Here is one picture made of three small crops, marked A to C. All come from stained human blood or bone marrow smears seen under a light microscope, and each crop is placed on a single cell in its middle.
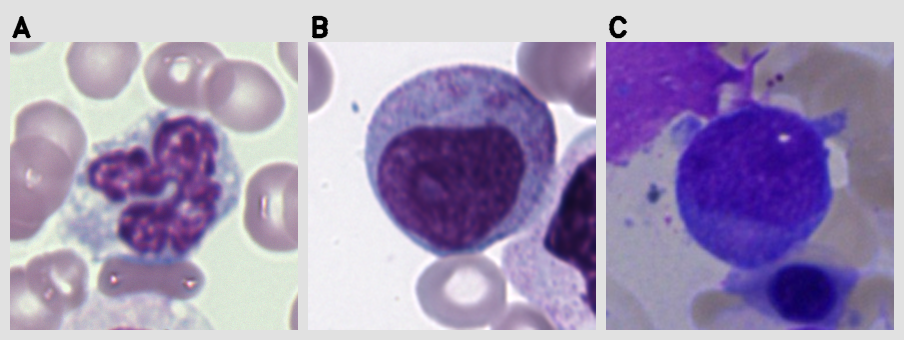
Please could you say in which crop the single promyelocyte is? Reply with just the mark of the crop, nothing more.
B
